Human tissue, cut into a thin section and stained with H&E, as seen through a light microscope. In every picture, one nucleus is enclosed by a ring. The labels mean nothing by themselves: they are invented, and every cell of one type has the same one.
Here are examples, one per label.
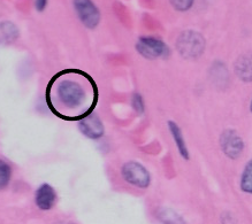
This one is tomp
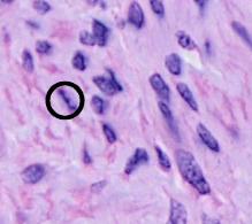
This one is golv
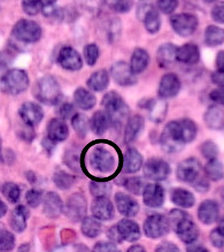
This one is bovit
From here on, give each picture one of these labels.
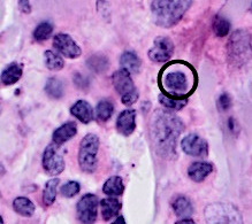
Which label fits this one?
bovit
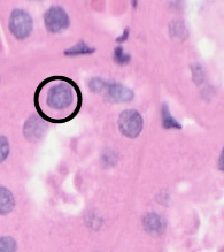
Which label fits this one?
tomp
